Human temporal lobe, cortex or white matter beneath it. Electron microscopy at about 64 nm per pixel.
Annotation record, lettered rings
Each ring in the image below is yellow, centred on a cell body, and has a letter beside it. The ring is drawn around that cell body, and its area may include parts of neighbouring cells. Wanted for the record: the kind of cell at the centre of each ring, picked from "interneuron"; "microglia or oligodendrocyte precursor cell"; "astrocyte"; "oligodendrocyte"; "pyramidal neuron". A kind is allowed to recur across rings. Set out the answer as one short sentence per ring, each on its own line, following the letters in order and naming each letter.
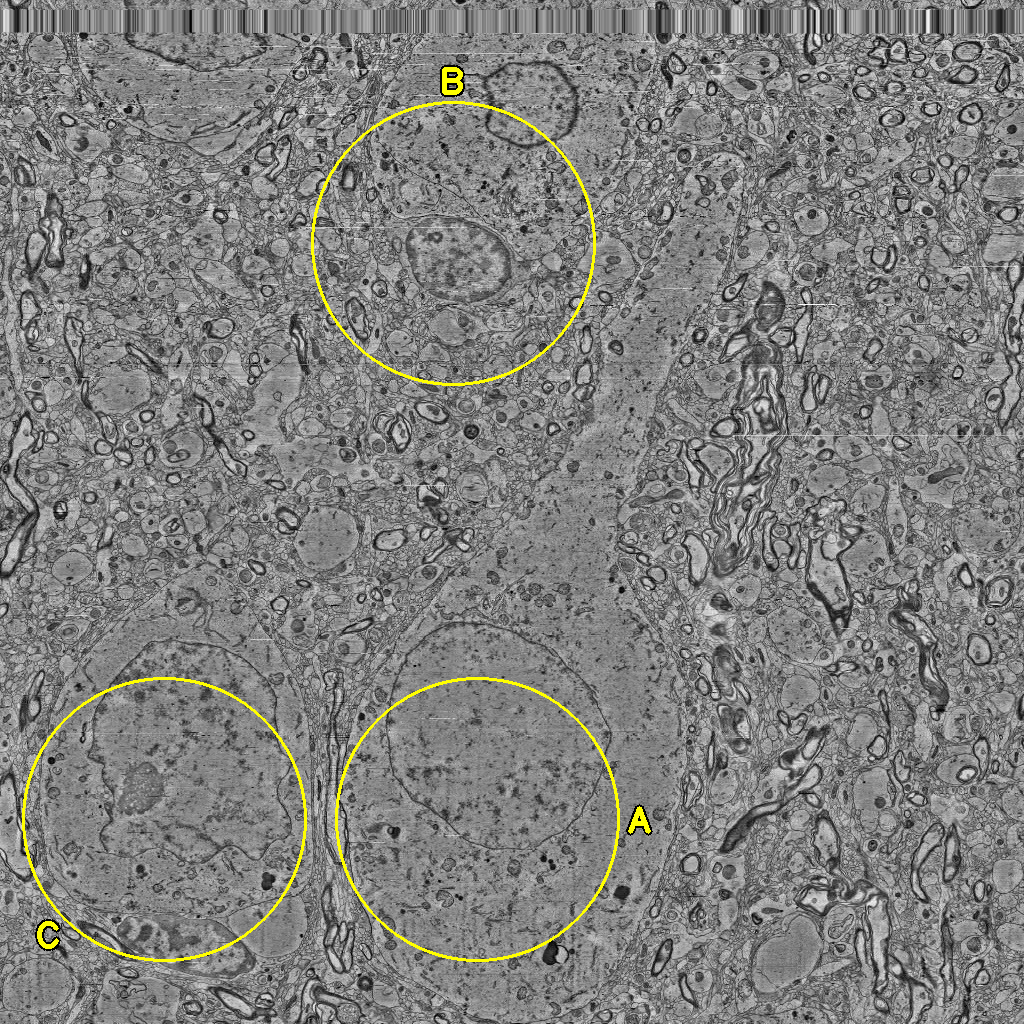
Ring A was drawn on a pyramidal neuron.
Ring B was drawn on an oligodendrocyte.
Ring C was drawn on a pyramidal neuron.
